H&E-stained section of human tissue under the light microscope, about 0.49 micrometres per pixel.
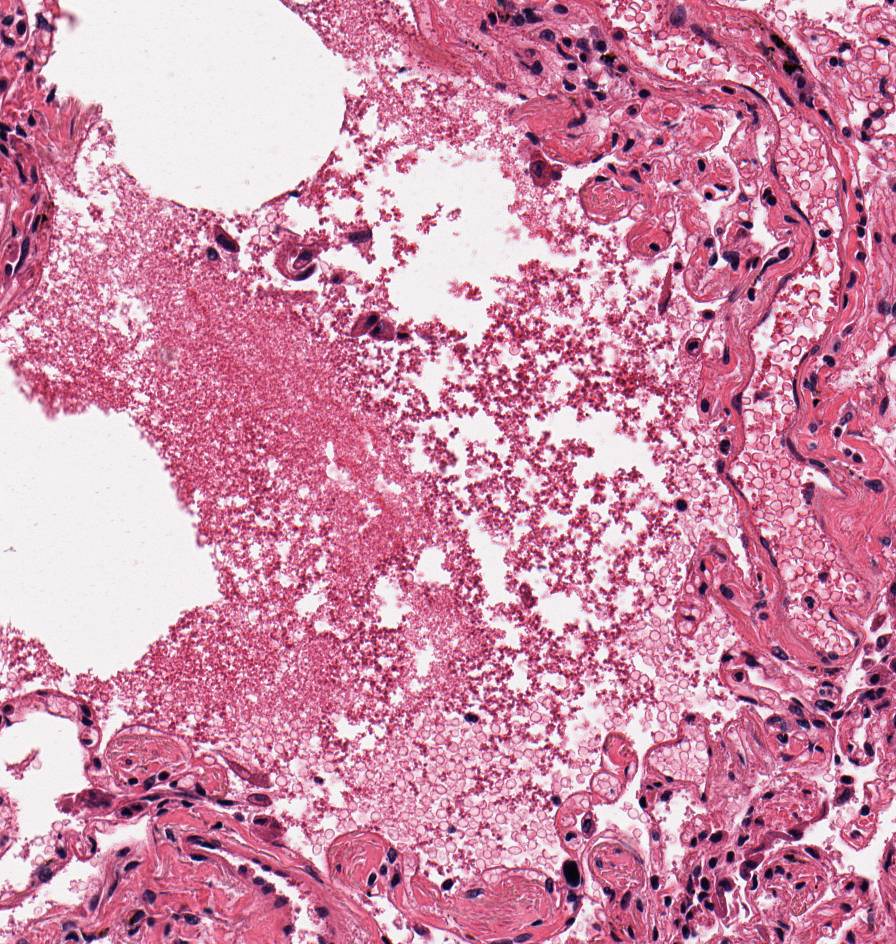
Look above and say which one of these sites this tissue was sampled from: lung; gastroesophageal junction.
lung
